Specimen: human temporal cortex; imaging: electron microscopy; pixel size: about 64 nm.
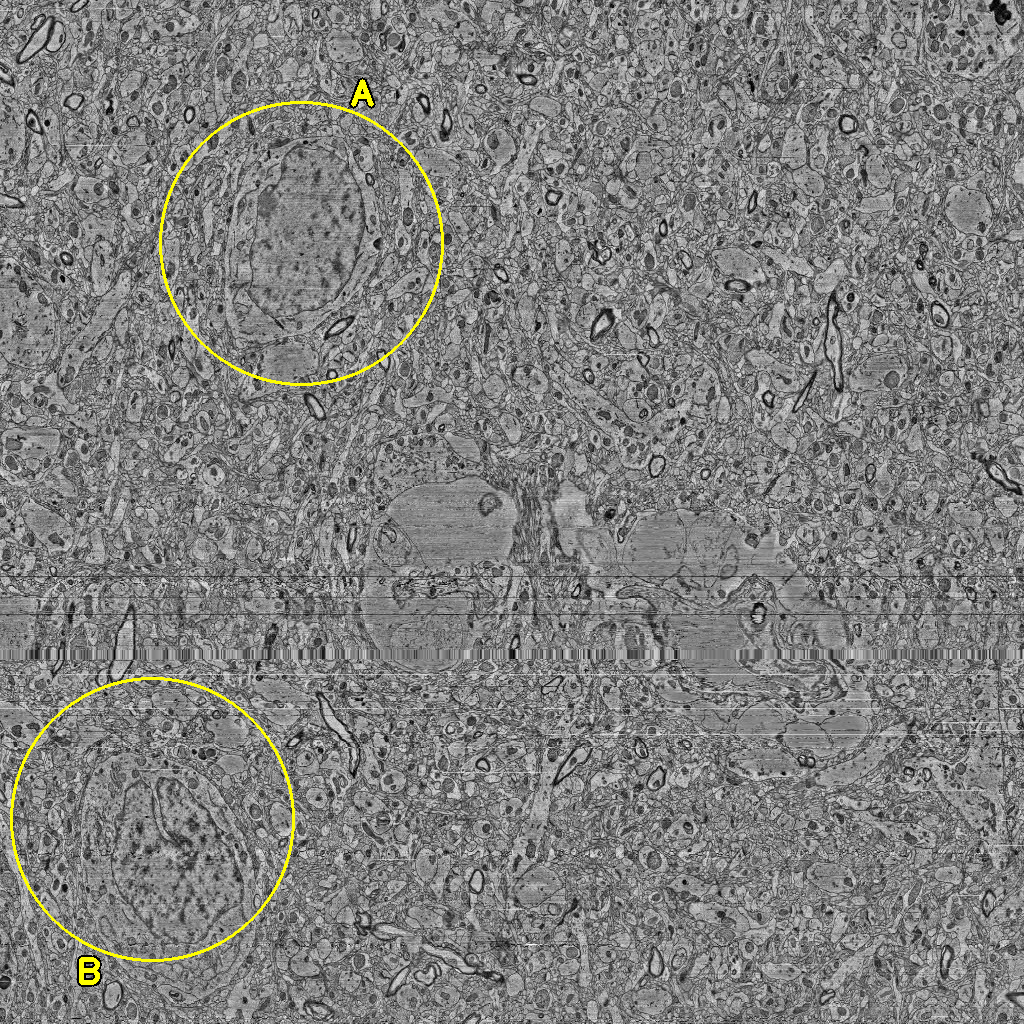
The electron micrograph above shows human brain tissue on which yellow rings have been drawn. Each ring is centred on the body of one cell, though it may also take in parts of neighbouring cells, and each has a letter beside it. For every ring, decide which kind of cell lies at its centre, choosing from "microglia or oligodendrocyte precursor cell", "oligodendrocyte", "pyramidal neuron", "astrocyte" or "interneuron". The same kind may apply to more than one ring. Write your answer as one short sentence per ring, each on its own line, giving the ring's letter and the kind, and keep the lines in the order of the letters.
Ring A is centred on an interneuron.
Ring B is centred on an interneuron.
